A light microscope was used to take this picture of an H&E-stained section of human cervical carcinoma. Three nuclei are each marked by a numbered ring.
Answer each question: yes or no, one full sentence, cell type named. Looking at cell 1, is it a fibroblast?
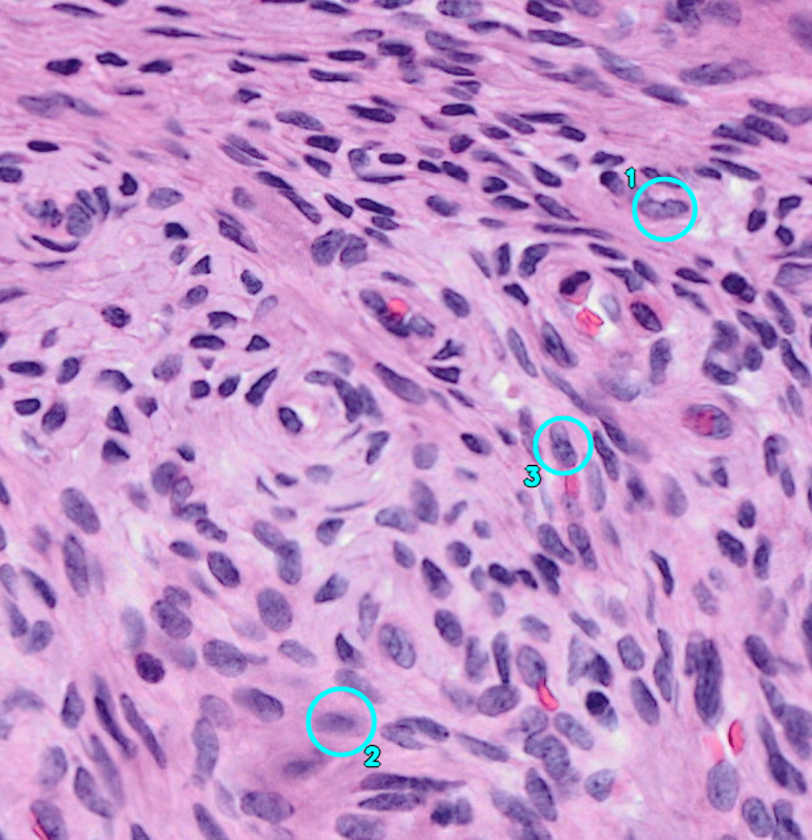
No, the cell given the number 1 is an endothelial cell, so not a fibroblast.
